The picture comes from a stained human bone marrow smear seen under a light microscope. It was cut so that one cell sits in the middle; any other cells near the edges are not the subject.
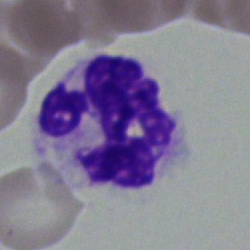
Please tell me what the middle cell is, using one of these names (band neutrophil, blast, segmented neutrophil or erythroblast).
segmented neutrophil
